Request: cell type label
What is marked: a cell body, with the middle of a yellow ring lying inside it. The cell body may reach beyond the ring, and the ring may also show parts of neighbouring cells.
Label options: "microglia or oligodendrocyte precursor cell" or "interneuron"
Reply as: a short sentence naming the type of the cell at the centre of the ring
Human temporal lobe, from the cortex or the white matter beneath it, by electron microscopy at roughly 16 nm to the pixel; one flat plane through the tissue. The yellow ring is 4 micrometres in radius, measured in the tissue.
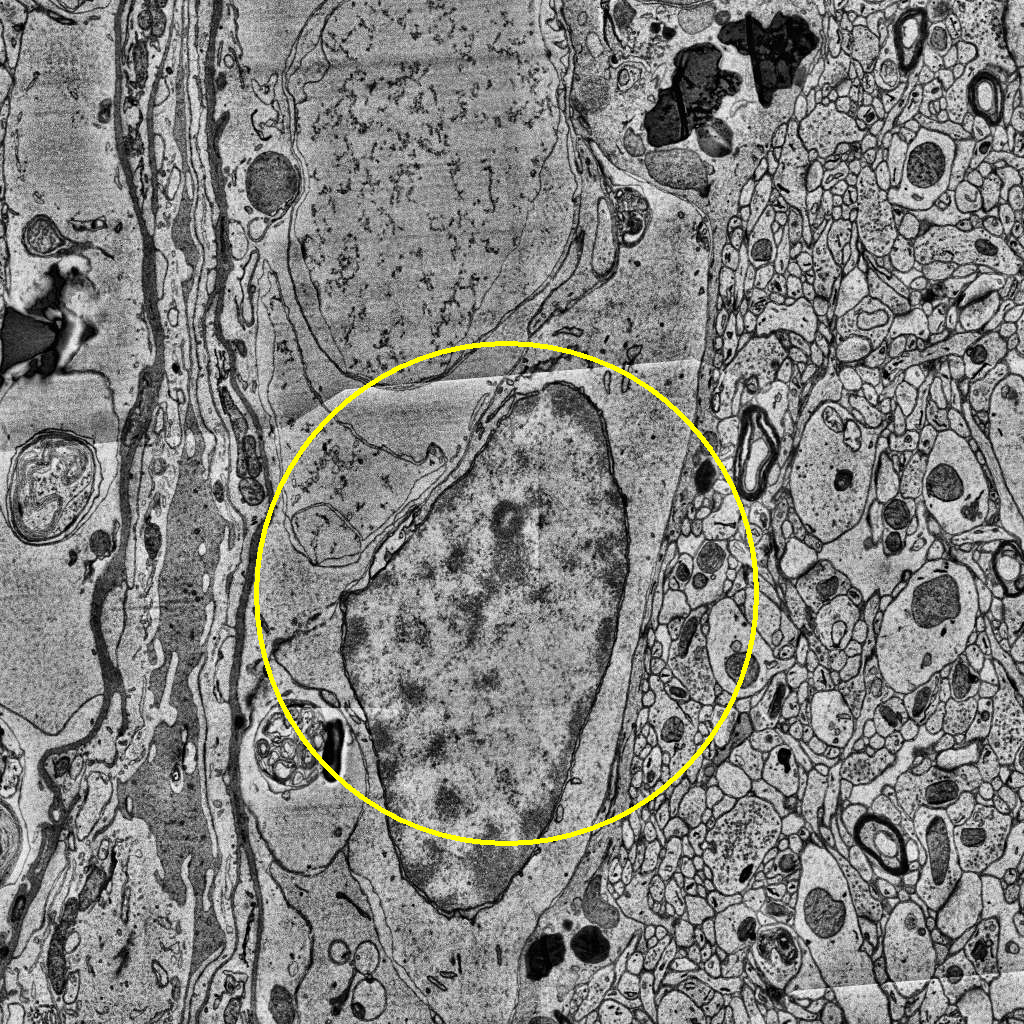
The marked cell body is that of a microglial cell or oligodendrocyte precursor cell.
